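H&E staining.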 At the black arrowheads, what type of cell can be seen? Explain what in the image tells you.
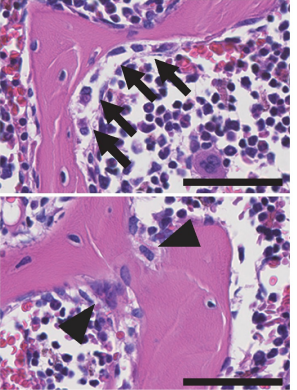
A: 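Osteoclasts. The arrowheads point to cells sitting directly on the surface of pink bone. These cells are larger than the surrounding marrow cells, with purple cytoplasm.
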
